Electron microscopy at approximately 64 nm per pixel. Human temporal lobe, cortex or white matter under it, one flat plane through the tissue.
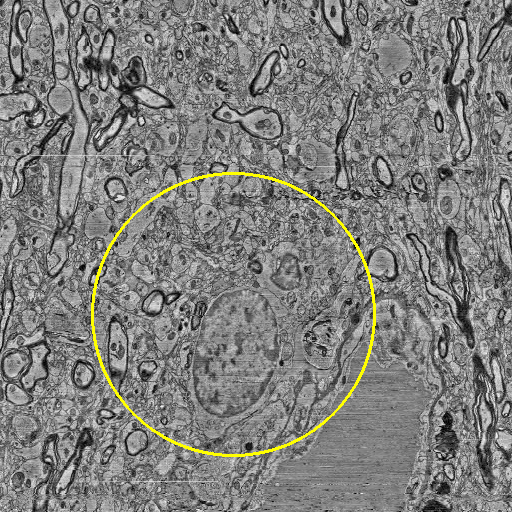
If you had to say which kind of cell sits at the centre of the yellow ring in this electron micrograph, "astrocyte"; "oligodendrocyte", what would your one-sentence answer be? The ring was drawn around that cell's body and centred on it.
The cell sitting at the centre of the ring is an oligodendrocyte.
